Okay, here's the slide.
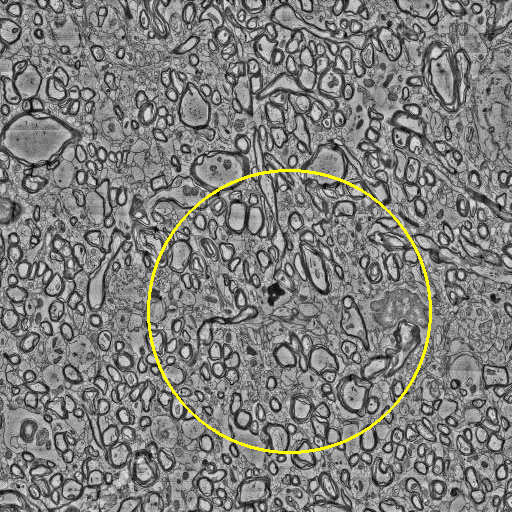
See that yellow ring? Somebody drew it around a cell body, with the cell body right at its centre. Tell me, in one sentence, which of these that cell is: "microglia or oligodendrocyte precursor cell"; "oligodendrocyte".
The cell in the middle of the ring is a microglial cell or oligodendrocyte precursor cell.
